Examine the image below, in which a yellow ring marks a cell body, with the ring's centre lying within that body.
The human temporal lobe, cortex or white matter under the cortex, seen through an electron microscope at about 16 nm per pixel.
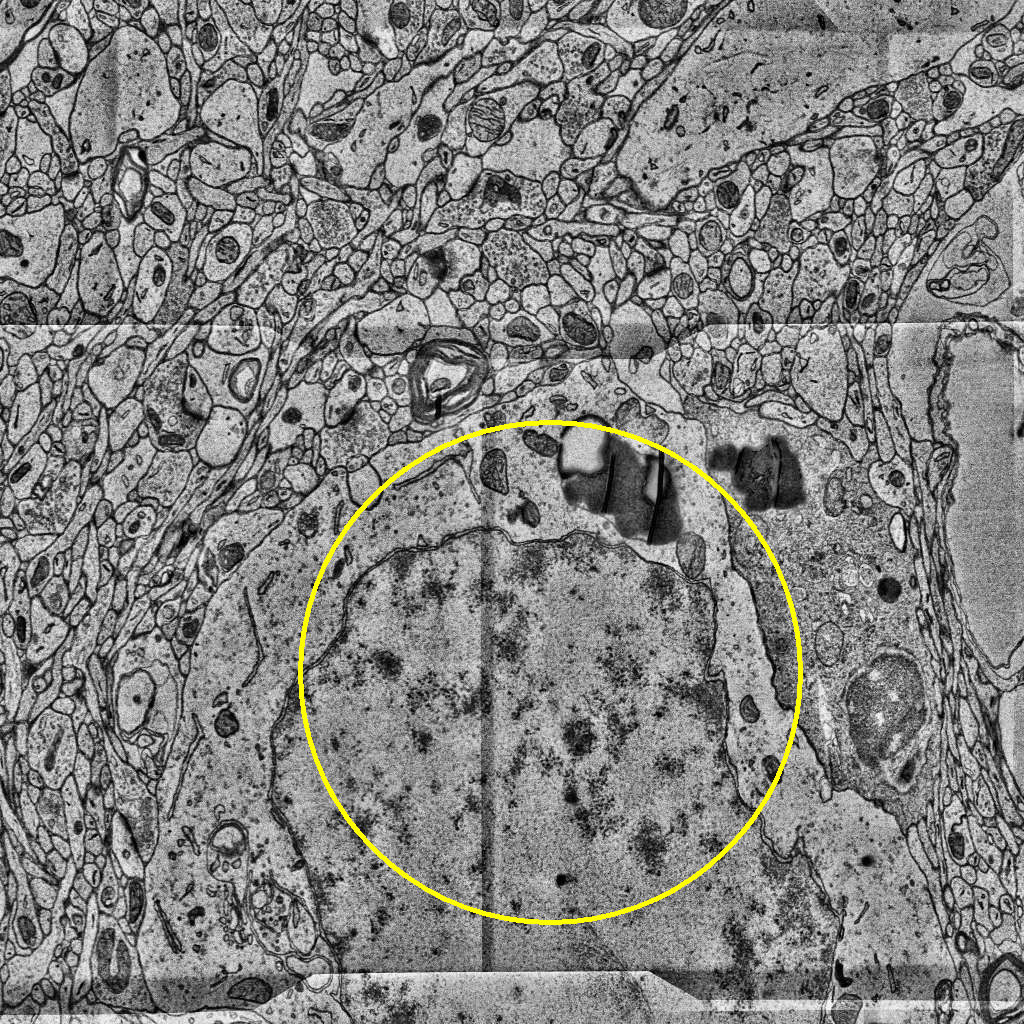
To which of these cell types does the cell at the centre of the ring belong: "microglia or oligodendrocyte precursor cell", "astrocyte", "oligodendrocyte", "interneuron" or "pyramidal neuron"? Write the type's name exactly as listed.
interneuron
